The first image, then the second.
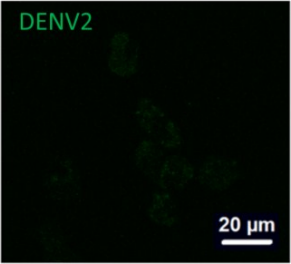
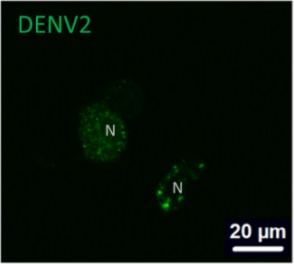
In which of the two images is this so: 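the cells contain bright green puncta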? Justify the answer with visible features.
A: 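The second image. First image: only faint, diffuse green outlines of cells, no bright spots. Second image: distinct bright green dots within the cells, especially in the lower right cell.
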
